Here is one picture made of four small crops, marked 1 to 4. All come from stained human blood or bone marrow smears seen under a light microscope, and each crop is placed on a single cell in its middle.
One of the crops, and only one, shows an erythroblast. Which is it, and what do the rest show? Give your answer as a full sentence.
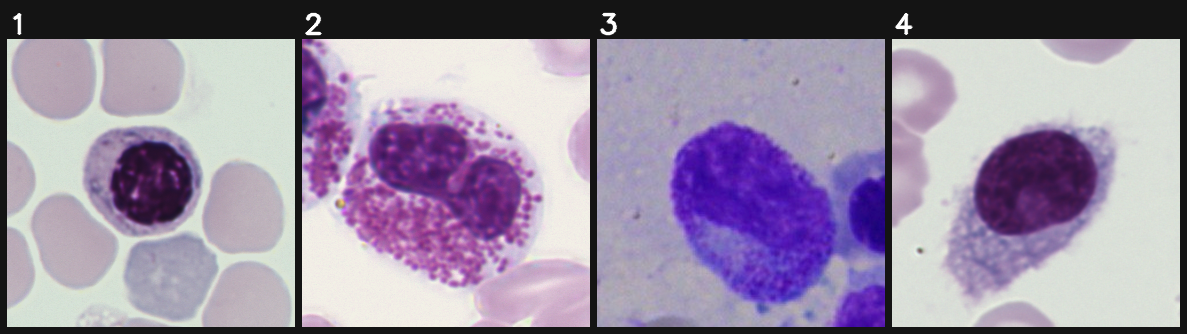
Among the crops, crop 1 shows an erythroblast, while crop 2 is an eosinophil, crop 3 is a myelocyte and crop 4 is a hairy cell.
